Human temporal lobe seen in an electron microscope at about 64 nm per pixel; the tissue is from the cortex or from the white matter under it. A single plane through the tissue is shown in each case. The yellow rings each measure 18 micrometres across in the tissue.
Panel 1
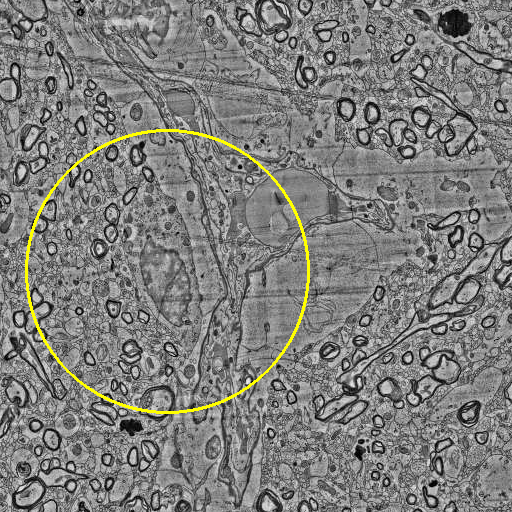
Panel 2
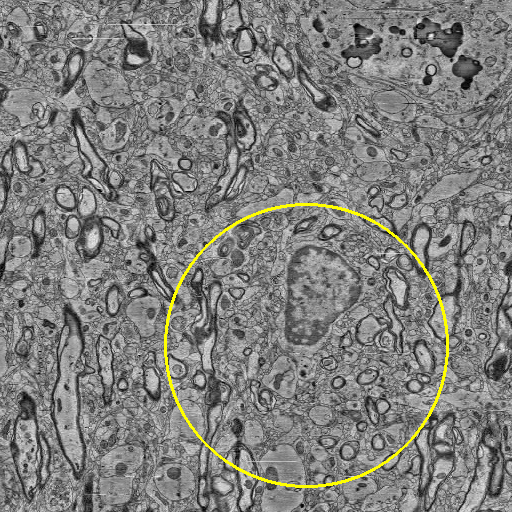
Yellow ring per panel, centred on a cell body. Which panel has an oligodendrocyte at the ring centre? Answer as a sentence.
Panel 1 shows it at the ring centre.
